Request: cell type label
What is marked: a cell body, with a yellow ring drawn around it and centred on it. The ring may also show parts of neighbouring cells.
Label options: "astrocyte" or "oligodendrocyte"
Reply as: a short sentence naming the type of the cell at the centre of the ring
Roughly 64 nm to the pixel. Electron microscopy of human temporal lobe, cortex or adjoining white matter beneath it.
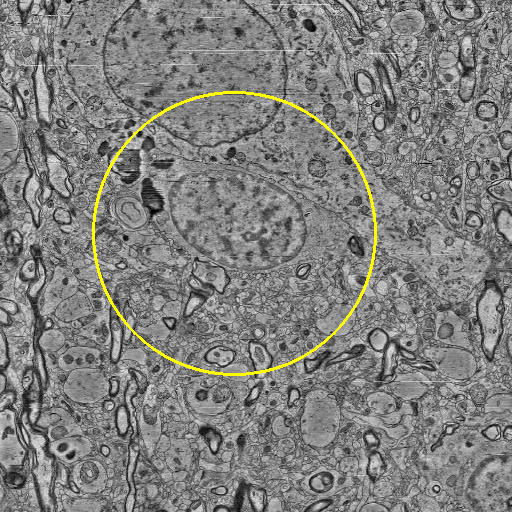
The marked cell body is that of an oligodendrocyte.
